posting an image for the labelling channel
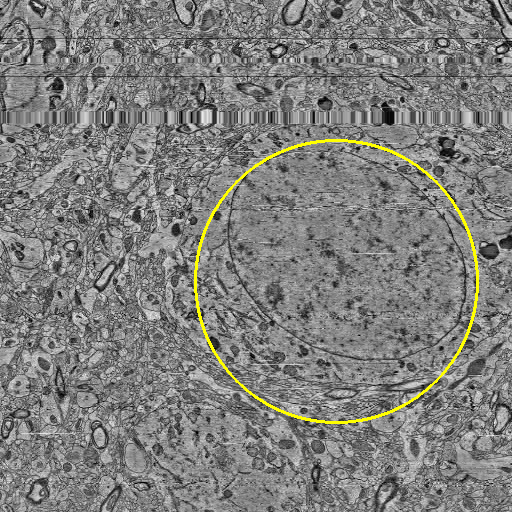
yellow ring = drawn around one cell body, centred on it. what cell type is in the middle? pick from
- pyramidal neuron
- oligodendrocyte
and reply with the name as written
pyramidal neuron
